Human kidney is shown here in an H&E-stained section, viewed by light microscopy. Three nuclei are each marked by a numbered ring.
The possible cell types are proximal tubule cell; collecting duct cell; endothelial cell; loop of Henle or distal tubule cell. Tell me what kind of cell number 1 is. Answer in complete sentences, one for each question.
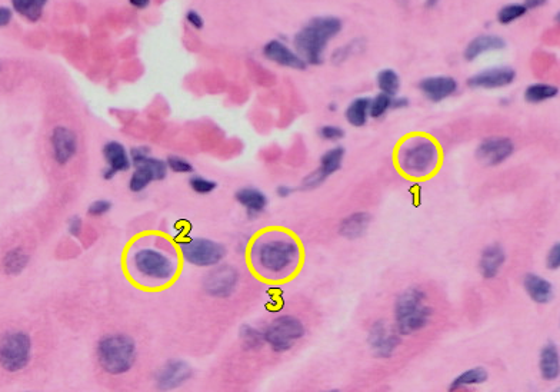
In this section, the cell numbered 1 is a proximal tubule cell.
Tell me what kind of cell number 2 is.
The nucleus labelled 2 belongs to an endothelial cell.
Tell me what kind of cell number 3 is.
The cell identified by number 3 is a proximal tubule cell.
